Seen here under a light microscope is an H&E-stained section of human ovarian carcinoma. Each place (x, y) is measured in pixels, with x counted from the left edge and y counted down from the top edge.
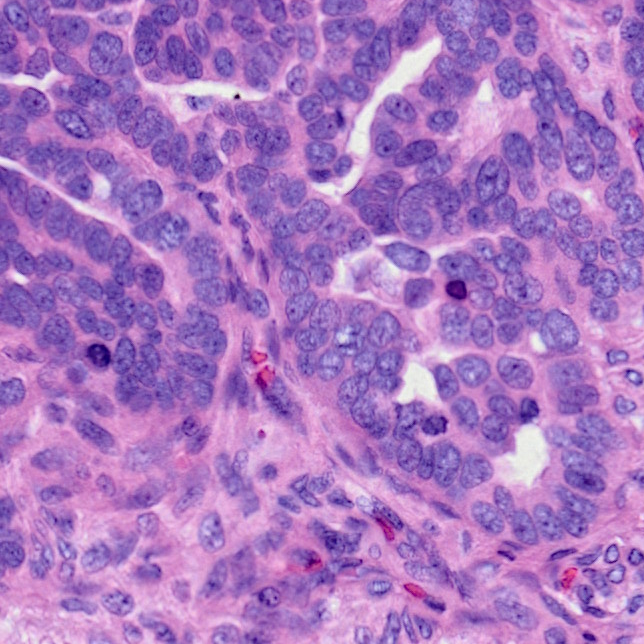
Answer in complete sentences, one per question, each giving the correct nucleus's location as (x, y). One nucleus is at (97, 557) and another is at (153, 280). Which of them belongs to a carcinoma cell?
The member of the pair belonging to a carcinoma cell is the nucleus at (153, 280).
